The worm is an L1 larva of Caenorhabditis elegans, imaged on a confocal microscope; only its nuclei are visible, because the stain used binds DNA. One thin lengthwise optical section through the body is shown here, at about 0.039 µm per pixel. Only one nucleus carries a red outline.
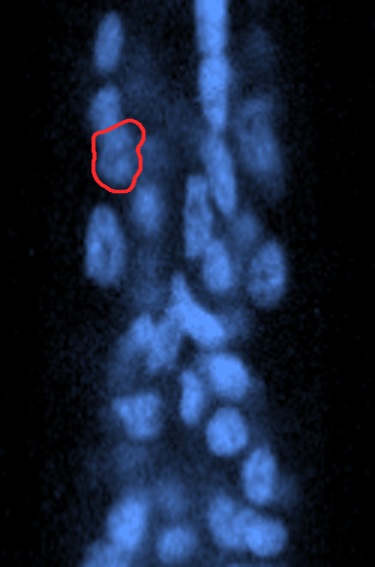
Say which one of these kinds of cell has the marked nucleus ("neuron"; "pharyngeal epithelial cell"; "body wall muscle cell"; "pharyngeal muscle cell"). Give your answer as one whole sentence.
It is the nucleus of a body wall muscle cell.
